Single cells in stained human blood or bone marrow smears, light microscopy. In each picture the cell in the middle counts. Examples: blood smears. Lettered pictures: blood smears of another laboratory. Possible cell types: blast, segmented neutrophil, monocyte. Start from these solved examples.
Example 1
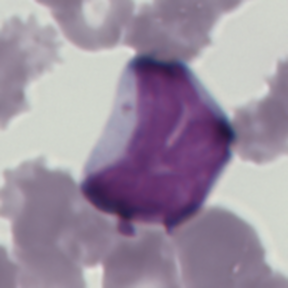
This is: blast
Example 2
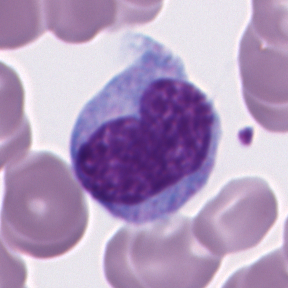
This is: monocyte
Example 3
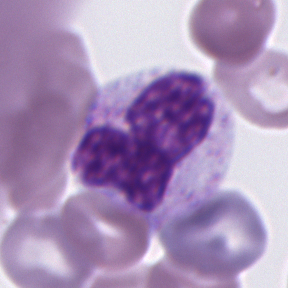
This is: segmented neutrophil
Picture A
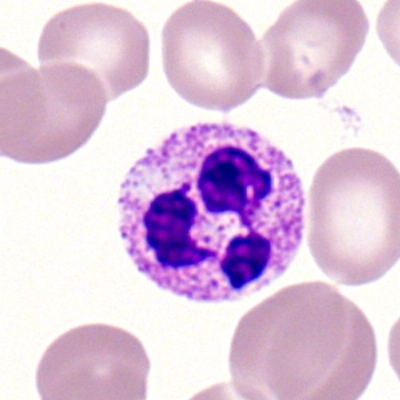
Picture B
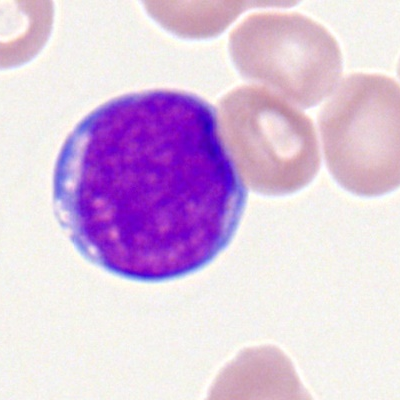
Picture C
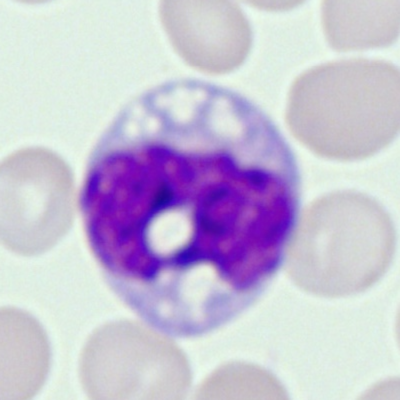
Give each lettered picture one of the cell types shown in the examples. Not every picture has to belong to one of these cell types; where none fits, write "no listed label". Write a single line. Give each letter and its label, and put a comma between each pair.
A segmented neutrophil, B blast, C monocyte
